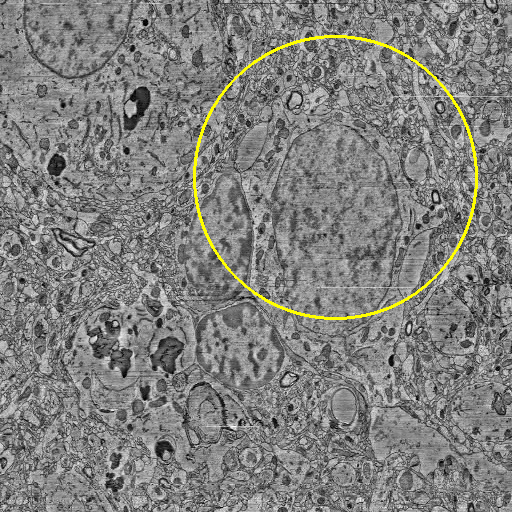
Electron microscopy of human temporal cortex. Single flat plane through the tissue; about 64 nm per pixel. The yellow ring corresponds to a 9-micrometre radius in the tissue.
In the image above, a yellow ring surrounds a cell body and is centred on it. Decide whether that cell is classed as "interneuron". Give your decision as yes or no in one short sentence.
Yes, it is classed as that kind.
